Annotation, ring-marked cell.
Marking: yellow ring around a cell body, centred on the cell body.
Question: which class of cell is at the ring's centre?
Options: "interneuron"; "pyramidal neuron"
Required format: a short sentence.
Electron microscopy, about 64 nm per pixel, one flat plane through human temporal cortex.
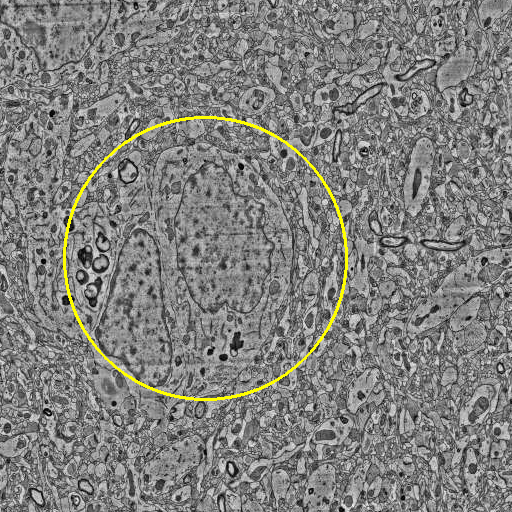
At the ring's centre is an interneuron.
